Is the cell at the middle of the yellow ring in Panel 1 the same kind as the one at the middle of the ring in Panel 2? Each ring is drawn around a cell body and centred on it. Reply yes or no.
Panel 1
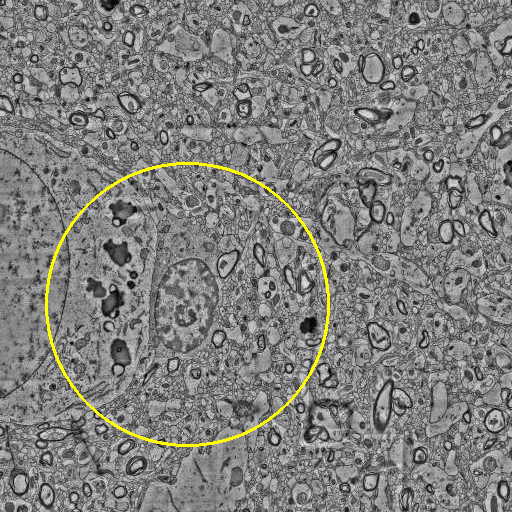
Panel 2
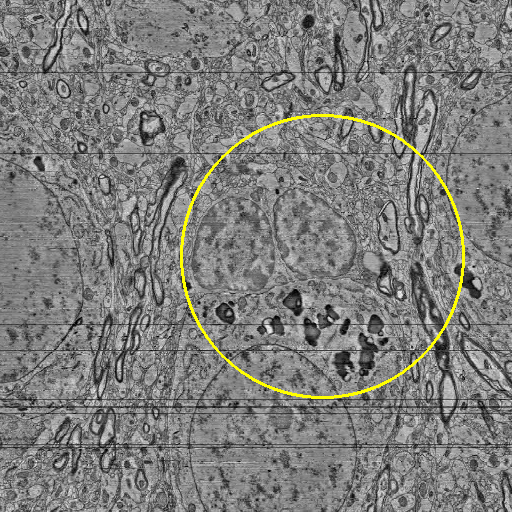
yes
